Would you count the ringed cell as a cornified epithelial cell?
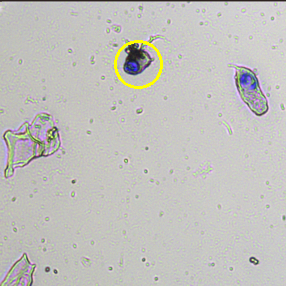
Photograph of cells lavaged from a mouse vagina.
No, I would count it as a nucleated epithelial cell.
